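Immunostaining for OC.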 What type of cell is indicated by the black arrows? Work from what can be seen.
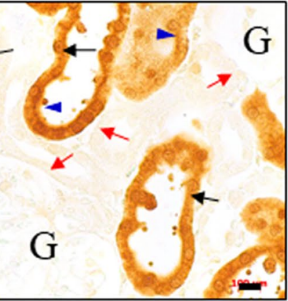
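Tubules lined by tall cuboidal cells with strongly brown-stained cytoplasm. Lumens are irregular with a brushy luminal border. Tubules lie beside a glomerulus.
Proximal tubule cells.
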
